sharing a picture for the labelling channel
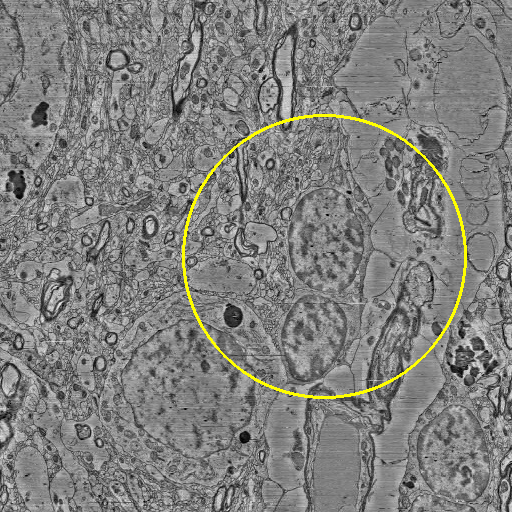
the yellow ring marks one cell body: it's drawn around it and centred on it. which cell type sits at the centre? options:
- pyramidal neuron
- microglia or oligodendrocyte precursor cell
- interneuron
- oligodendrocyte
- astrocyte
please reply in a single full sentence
In the picture, the cell at the ring's centre is an oligodendrocyte, going by the list.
